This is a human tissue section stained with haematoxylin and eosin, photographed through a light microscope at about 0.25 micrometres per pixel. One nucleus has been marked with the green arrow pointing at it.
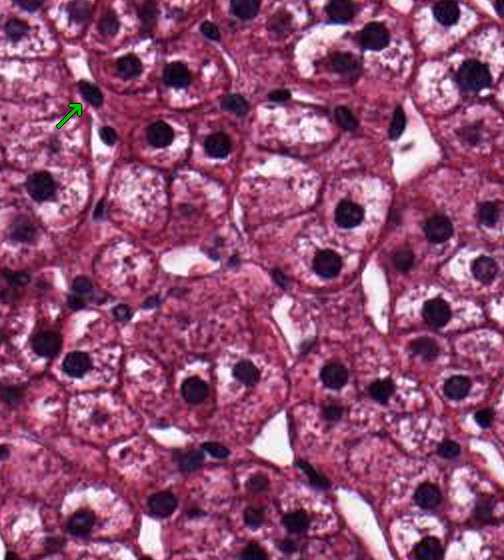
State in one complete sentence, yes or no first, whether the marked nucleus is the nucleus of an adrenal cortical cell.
No, the marked nucleus belongs to a supporting cell, and an adrenal cortical cell is not its owner.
